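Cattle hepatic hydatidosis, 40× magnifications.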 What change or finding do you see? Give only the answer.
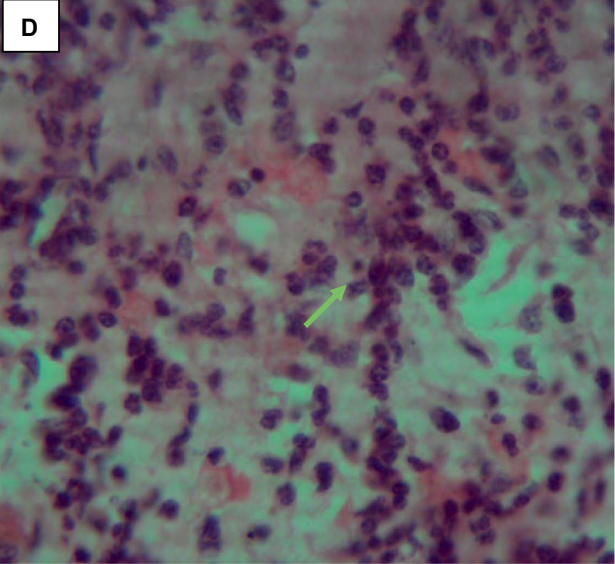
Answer: Infiltrated macrophages, lymphocytes, and a few eosinophils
